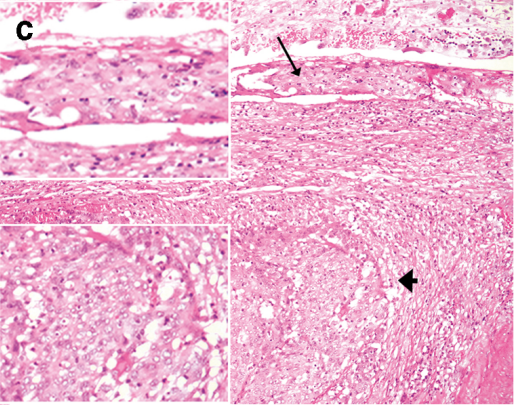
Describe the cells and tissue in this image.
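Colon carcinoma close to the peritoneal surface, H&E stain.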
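Near the top a narrow slit-like space is lined by plump cells with pink cytoplasm and rounded nuclei, forming a thickened layer. Below, in pink fibrous stroma, lie sheets of larger cells with pale, foamy, vacuolated cytoplasm and small nuclei. The two groups of cells look alike at this magnification, both forming solid sheets rather than glands. Insets enlarge the lining cells of the cleft and the vacuolated cell sheet.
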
